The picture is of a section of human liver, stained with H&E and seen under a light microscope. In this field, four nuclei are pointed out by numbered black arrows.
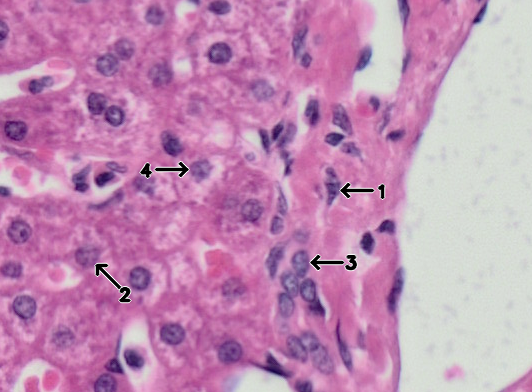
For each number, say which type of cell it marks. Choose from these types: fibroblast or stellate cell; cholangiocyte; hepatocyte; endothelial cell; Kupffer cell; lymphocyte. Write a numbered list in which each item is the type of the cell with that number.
1. fibroblast or stellate cell
2. hepatocyte
3. cholangiocyte
4. hepatocyte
